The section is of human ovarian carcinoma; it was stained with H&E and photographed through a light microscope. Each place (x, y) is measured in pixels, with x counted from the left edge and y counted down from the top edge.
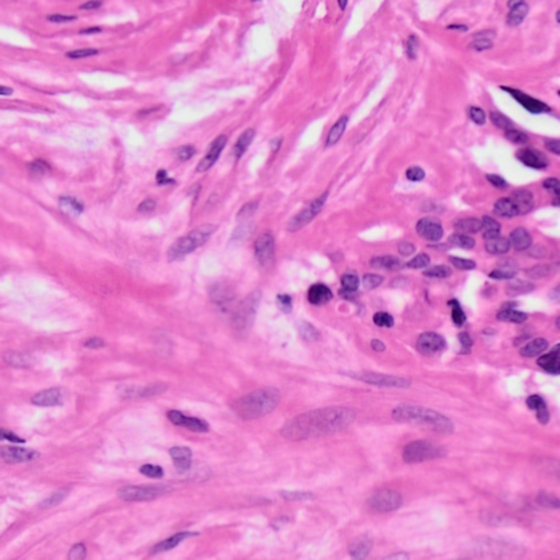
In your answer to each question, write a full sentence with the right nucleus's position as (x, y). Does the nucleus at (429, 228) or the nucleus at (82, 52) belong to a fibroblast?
So, of the two, the nucleus at (82, 52) is the one belonging to a fibroblast.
